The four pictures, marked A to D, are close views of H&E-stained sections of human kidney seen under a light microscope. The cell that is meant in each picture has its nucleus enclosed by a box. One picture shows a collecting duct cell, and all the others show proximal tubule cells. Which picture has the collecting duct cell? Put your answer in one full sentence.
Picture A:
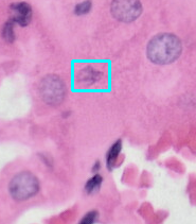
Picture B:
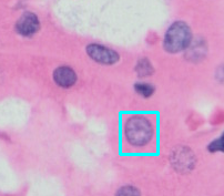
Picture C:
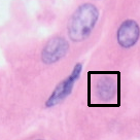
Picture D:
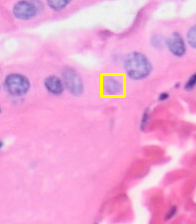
Picture D shows the collecting duct cell.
